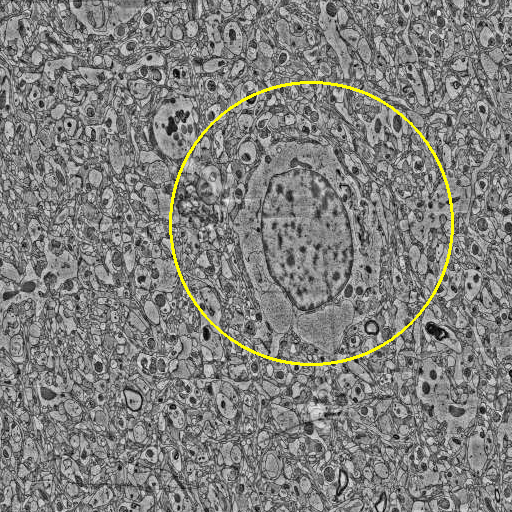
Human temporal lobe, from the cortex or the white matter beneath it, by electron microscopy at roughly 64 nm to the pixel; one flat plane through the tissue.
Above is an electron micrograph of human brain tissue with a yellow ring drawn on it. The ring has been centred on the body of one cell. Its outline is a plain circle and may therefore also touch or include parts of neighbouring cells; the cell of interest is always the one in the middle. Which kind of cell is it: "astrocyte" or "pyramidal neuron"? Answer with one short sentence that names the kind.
The ring's central cell body is that of an astrocyte.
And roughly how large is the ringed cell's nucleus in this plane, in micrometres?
In this plane, about 9 by 6 micrometres: the nucleus is clearly longer than it is wide.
